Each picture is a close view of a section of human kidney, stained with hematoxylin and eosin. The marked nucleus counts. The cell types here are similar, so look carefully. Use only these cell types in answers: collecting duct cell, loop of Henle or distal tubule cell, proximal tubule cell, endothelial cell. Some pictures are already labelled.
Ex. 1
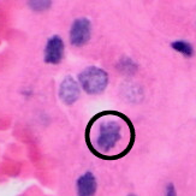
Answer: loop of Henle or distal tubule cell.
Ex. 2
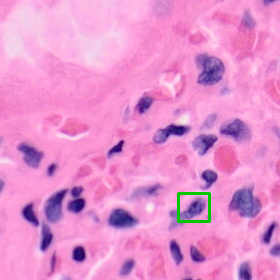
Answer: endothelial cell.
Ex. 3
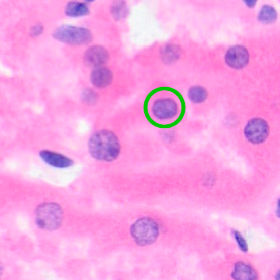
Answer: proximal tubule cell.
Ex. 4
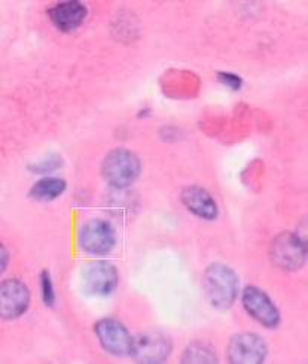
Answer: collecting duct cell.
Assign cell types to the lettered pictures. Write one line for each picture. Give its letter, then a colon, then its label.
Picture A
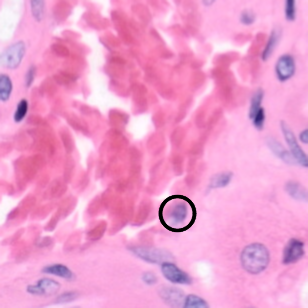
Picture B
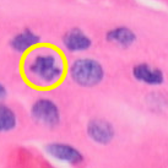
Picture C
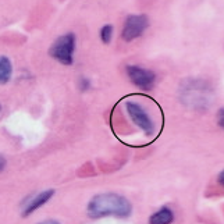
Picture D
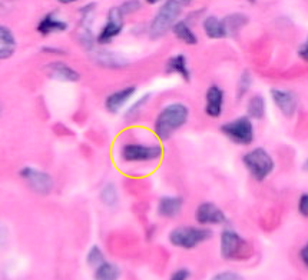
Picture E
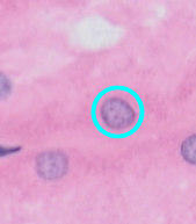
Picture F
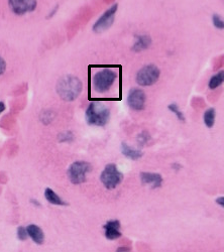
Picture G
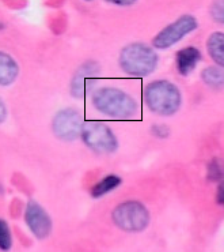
A: endothelial cell.
B: loop of Henle or distal tubule cell.
C: endothelial cell.
D: endothelial cell.
E: proximal tubule cell.
F: loop of Henle or distal tubule cell.
G: collecting duct cell.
